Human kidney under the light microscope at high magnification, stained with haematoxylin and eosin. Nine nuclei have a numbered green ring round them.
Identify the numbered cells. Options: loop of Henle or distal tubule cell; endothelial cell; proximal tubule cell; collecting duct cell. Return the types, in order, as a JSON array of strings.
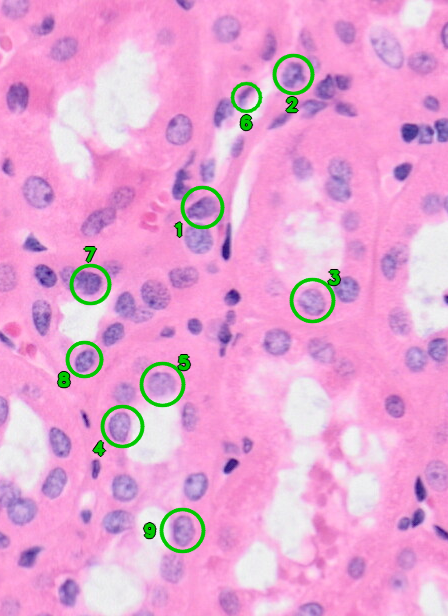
["collecting duct cell", "collecting duct cell", "loop of Henle or distal tubule cell", "loop of Henle or distal tubule cell", "loop of Henle or distal tubule cell", "collecting duct cell", "collecting duct cell", "collecting duct cell", "loop of Henle or distal tubule cell"]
